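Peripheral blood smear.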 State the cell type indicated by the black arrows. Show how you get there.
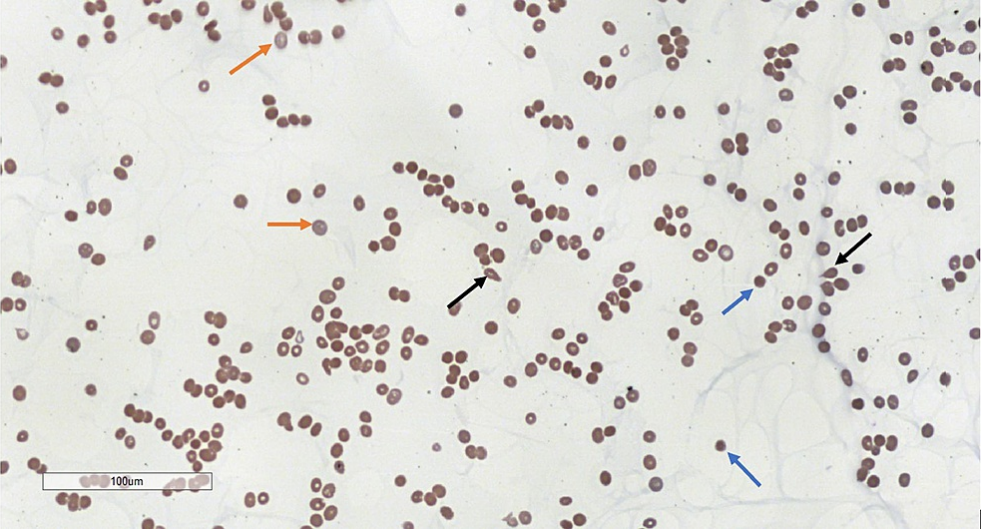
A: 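The marked red cells are elongated, with one end drawn out to a tapering point. Most surrounding red cells are round.
Answer: teardrop cells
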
